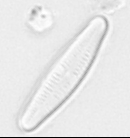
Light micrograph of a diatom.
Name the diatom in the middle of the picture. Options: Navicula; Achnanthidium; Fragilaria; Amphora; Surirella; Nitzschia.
Achnanthidium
